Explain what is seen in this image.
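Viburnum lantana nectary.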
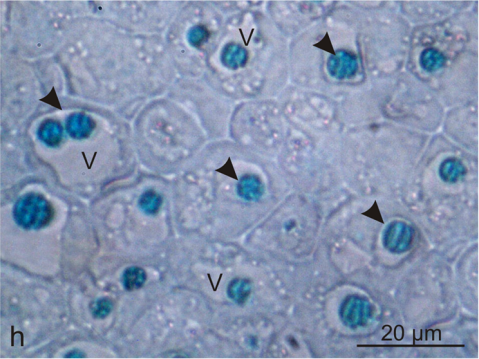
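A sheet of polygonal parenchyma cells with thin pale walls is seen, many of them holding one or two dense blue-green rounded bodies. These bodies sit within clear vacuolar spaces, and some look lobed or striated inside. Small pale granules are scattered in the cytoplasm around them.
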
